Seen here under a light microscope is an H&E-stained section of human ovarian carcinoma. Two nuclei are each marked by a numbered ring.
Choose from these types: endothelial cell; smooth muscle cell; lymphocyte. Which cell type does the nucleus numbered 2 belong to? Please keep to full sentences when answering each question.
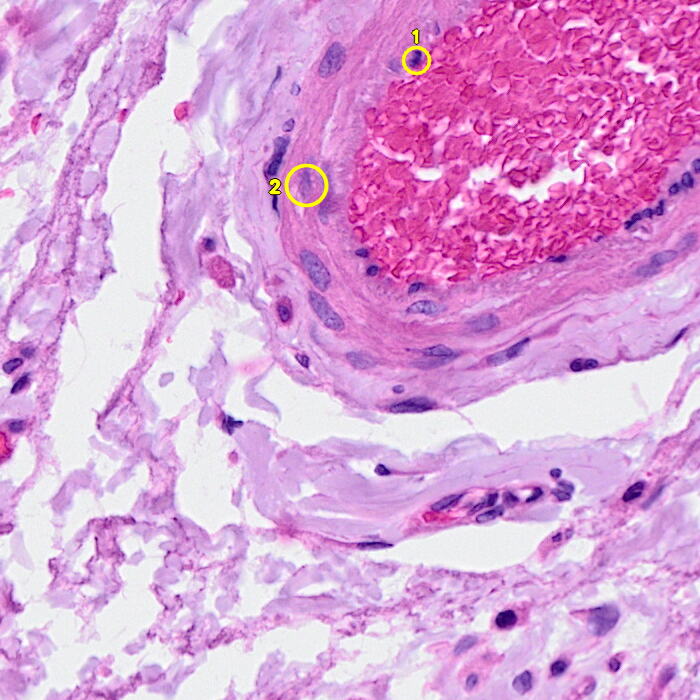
The cell bearing label 2 corresponds to a smooth muscle cell.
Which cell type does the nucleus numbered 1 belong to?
Belonging to an endothelial cell is the nucleus that carries the number 1.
